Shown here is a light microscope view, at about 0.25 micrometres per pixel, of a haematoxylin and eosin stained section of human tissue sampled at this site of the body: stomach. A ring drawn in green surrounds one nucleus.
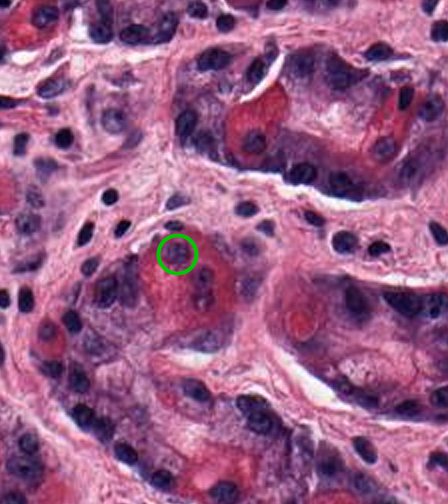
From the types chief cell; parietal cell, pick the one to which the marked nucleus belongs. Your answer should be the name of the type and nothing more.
parietal cell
